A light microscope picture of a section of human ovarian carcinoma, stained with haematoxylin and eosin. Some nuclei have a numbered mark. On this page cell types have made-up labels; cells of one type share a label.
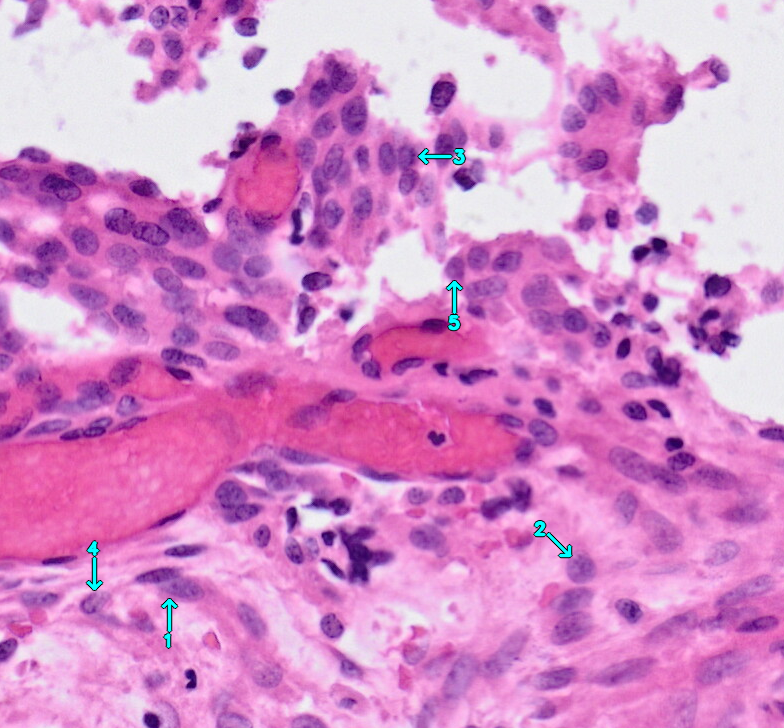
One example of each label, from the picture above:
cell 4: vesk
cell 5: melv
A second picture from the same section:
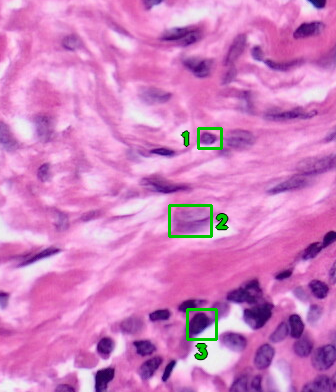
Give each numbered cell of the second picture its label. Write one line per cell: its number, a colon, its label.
1: vesk
2: vesk
3: melv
